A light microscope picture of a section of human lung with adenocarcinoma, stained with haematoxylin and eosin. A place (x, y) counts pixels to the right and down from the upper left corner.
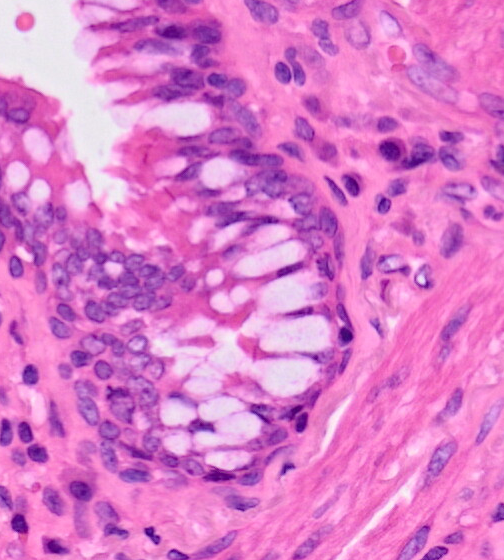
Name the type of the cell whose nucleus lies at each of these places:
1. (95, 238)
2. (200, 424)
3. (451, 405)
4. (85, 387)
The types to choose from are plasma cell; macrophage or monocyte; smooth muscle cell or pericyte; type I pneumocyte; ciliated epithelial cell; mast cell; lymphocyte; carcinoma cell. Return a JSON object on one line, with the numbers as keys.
{"1": "ciliated epithelial cell", "2": "ciliated epithelial cell", "3": "smooth muscle cell or pericyte", "4": "ciliated epithelial cell"}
